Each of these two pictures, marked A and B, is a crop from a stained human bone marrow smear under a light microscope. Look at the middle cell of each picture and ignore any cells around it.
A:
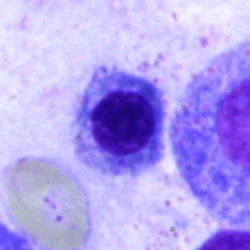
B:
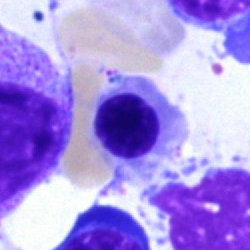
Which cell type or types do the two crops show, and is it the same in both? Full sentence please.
Yes, both crops do show normoblasts in the middle.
